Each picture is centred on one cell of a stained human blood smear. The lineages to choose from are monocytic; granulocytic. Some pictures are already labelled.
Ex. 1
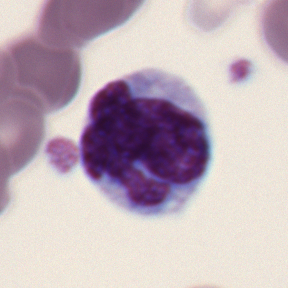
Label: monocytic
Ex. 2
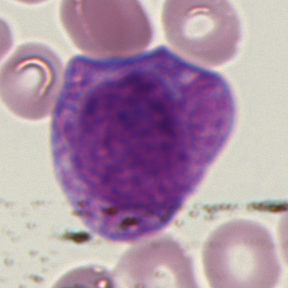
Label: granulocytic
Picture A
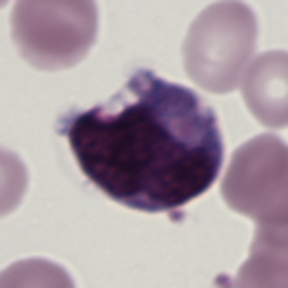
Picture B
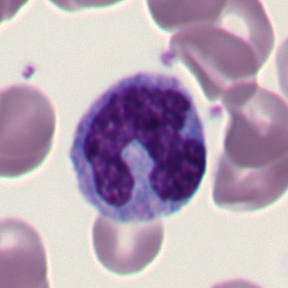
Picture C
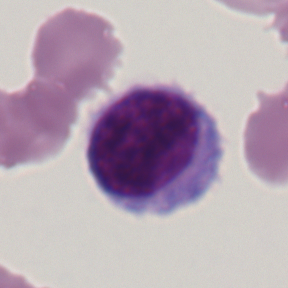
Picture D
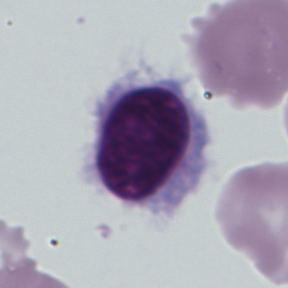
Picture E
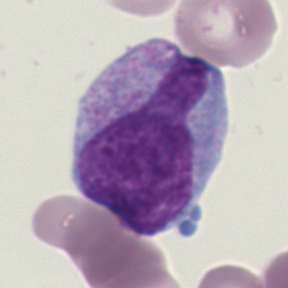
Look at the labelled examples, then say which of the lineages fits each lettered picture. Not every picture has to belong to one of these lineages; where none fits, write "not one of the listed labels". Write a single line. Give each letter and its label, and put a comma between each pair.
A monocytic, B monocytic, C not one of the listed labels, D not one of the listed labels, E granulocytic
